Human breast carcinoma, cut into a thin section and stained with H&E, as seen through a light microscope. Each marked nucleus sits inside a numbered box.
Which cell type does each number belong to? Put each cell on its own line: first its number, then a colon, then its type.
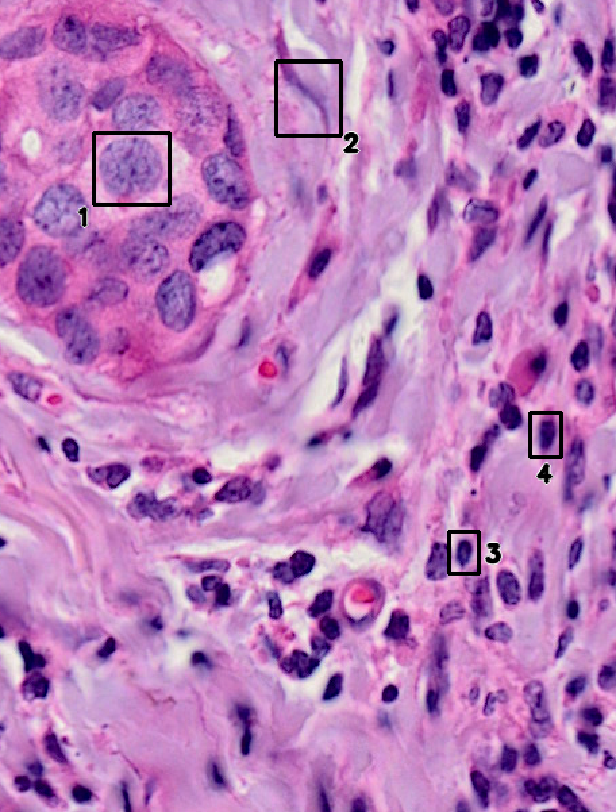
1: carcinoma cell
2: fibroblast
3: lymphocyte
4: lymphocyte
